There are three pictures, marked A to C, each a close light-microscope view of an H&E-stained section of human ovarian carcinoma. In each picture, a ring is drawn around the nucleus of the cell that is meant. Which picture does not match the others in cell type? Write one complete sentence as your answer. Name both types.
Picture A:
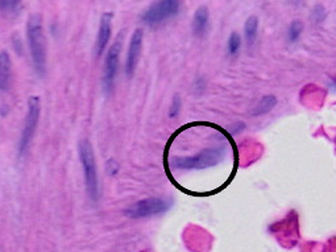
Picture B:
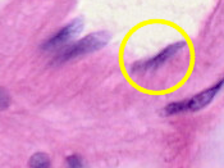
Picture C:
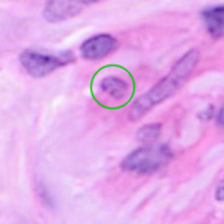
The others show endothelial cells, but picture C shows a smooth muscle cell.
